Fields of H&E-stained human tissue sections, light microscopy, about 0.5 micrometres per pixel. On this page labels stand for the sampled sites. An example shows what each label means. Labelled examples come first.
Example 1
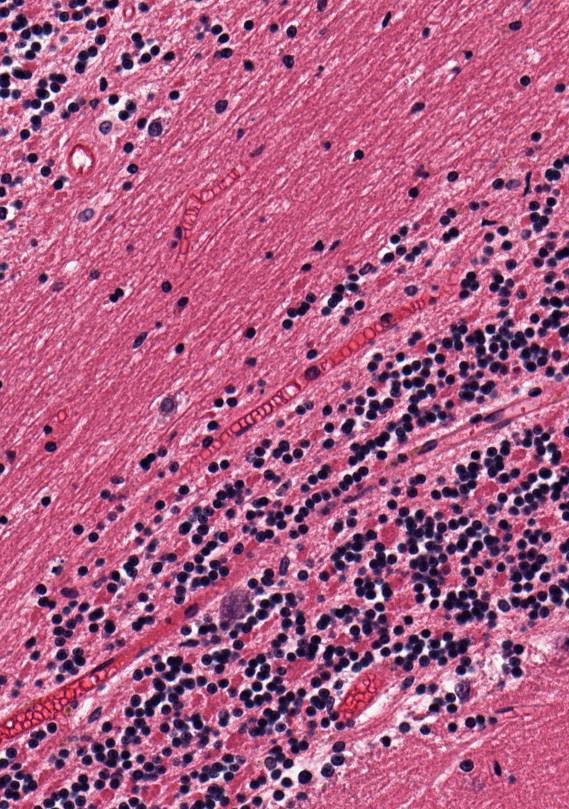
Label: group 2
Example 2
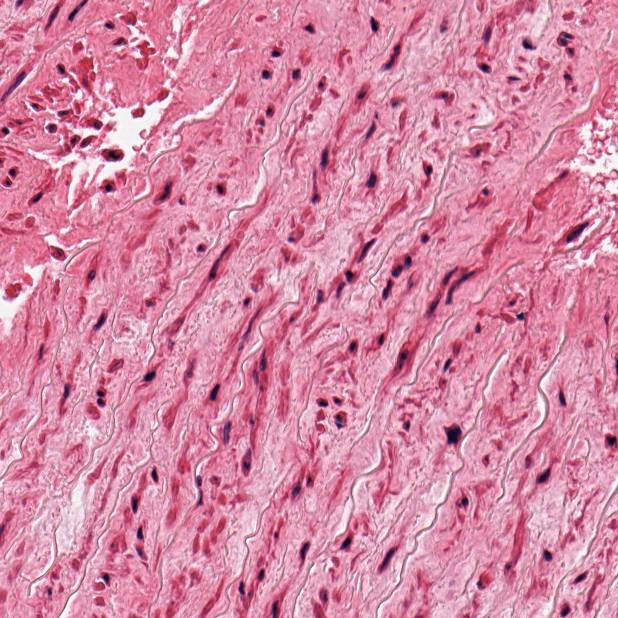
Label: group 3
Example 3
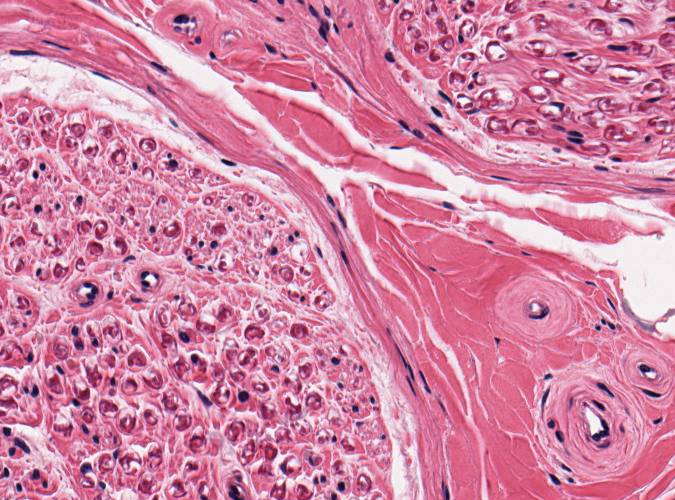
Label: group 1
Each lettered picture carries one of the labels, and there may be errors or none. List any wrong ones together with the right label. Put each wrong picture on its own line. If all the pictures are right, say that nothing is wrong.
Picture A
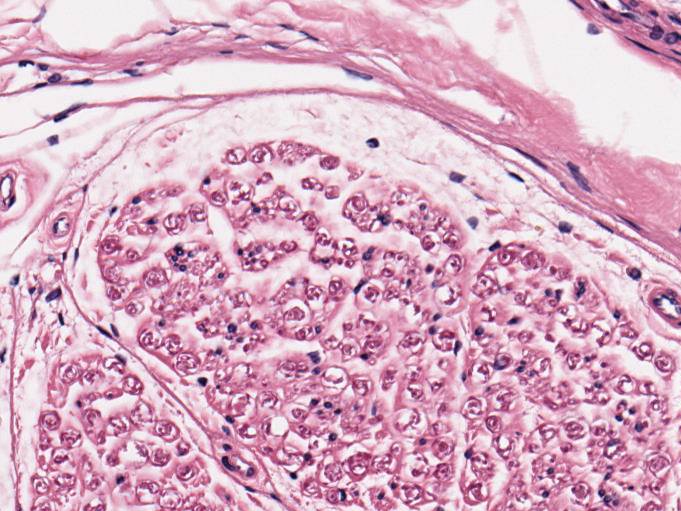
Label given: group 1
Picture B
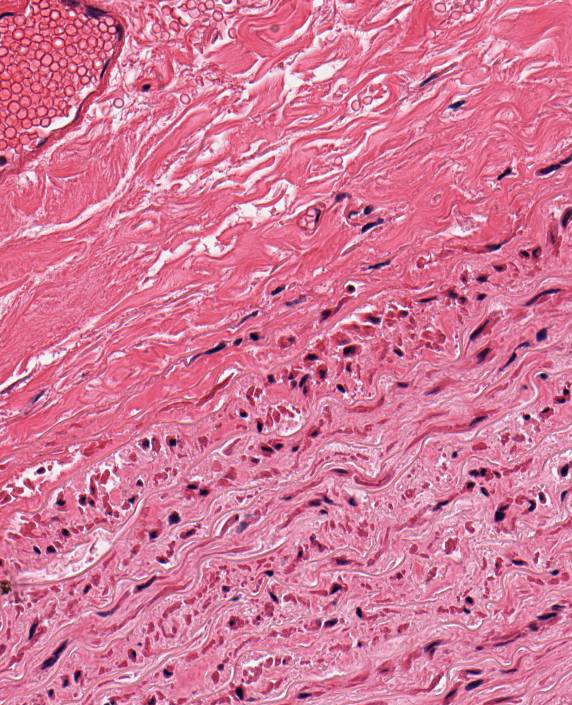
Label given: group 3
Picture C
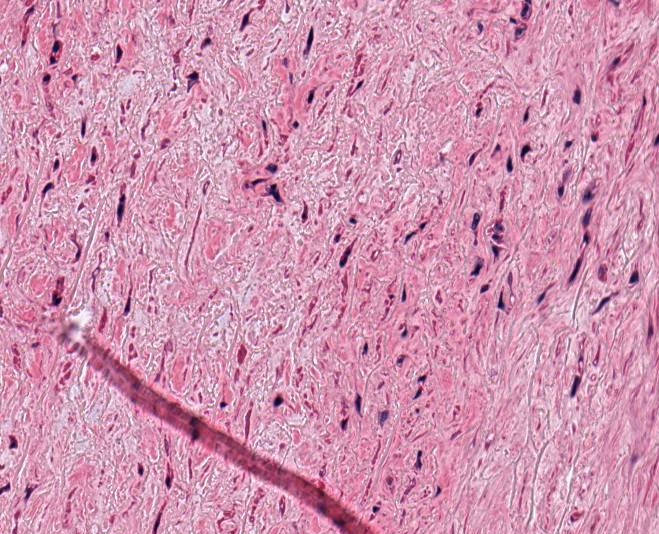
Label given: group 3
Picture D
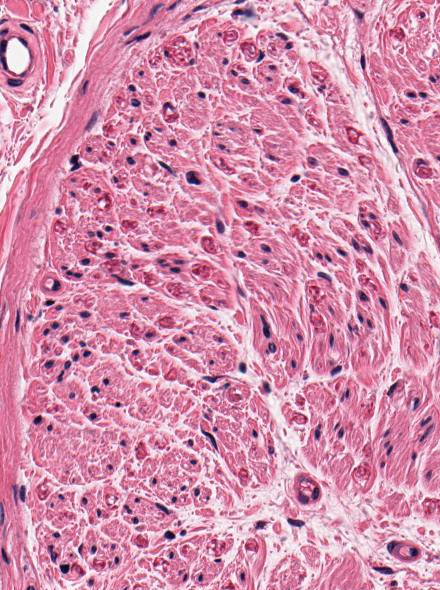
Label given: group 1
All correct.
